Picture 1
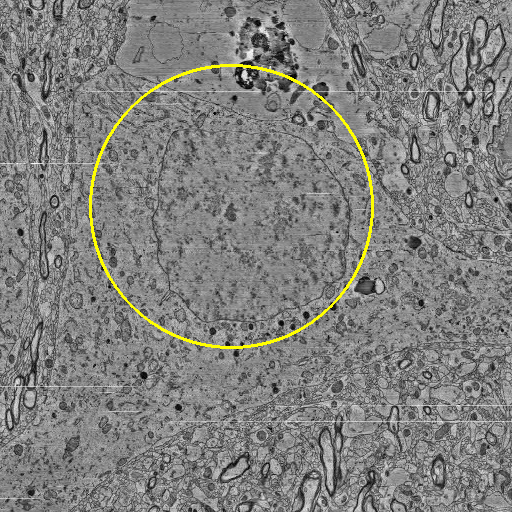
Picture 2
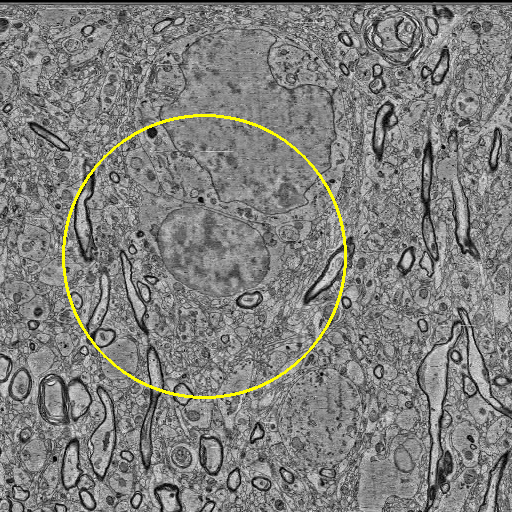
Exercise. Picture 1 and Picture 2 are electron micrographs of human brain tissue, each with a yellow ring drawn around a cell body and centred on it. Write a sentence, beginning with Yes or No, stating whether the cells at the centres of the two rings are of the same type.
No, the cells at the centres of the rings are of two types.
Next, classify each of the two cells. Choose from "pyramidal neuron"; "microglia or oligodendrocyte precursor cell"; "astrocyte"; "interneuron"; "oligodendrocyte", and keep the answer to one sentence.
In the first picture it is a pyramidal neuron; in the second it is an oligodendrocyte.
